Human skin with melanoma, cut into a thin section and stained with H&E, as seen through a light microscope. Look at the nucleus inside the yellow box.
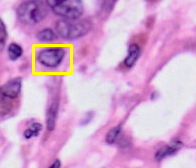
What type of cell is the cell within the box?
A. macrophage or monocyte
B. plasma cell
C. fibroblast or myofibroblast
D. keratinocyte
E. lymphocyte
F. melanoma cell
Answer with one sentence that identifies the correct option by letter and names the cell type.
The statement that the cell within the box is a macrophage or monocyte corresponds to option A, the correct one.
